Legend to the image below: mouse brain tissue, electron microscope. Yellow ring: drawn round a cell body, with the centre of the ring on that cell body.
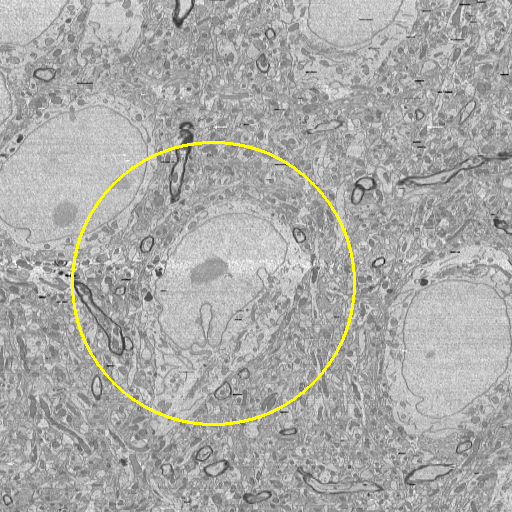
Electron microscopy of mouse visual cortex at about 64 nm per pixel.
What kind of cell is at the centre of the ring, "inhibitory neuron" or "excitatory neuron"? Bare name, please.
inhibitory neuron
